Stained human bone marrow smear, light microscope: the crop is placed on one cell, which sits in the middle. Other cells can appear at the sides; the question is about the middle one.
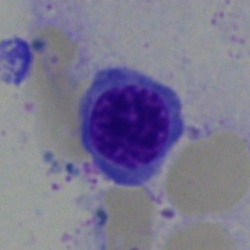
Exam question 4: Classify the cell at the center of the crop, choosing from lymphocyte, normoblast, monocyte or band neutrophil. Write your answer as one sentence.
The cell nearest the centre of this crop is a normoblast.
